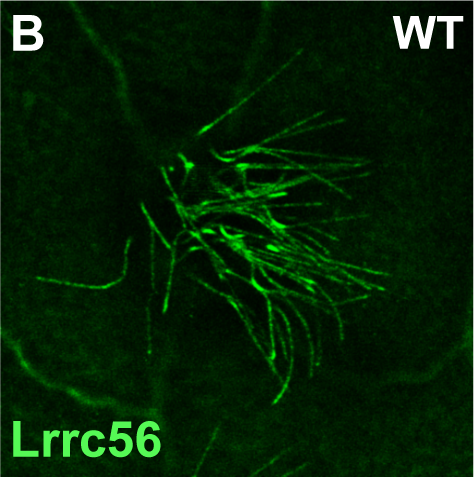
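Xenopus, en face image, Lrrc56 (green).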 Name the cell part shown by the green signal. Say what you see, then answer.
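Axoneme. Green signal runs along many long thin filaments. Filaments radiate as a tuft from one cell.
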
